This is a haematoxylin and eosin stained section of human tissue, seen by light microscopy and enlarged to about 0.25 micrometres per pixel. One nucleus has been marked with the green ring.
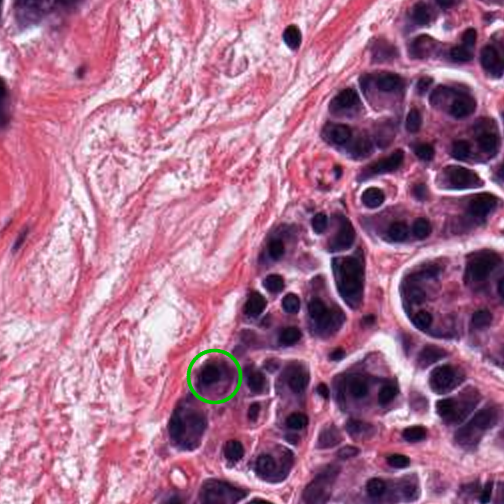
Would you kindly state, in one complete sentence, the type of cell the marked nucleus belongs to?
The mark identifies the nucleus of a pancreatic acinar cell.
